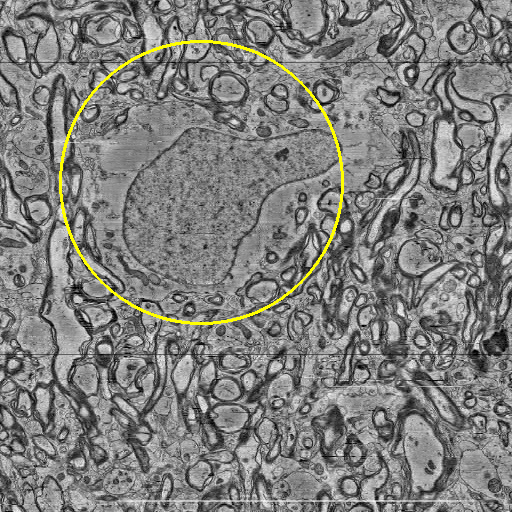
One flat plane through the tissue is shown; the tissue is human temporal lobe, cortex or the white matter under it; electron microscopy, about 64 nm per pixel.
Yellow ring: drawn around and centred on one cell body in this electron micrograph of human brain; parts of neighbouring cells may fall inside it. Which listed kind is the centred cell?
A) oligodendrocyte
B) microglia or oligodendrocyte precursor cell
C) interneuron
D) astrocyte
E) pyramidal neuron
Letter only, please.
D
